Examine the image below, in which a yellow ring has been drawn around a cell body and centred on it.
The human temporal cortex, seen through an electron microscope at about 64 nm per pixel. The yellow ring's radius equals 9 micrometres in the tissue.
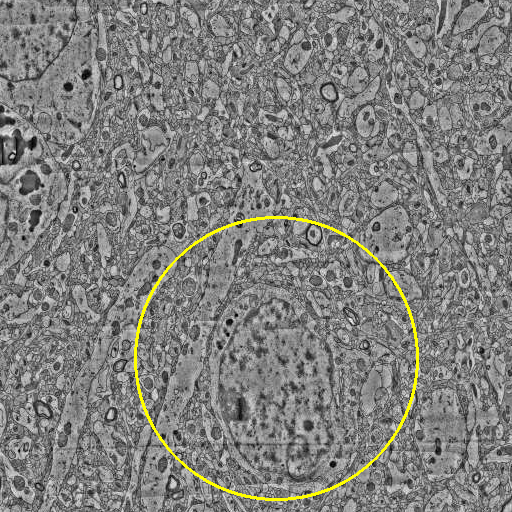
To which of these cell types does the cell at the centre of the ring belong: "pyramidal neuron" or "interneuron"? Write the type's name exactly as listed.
interneuron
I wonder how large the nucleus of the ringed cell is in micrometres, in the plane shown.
In this plane the nucleus measures roughly 10 by 8 micrometers.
